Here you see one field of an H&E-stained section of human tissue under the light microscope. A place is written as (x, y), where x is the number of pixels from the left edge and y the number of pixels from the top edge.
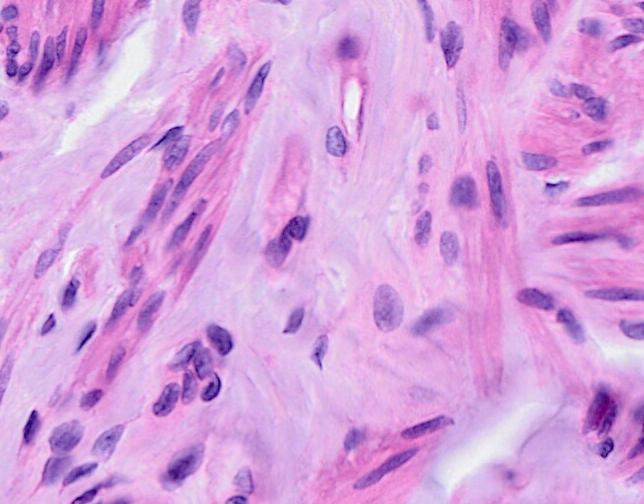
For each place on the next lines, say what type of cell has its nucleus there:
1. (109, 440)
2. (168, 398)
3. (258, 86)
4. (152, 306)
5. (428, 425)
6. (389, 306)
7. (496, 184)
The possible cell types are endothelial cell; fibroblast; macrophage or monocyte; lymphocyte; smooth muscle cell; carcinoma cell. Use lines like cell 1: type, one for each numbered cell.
cell 1: fibroblast
cell 2: endothelial cell
cell 3: smooth muscle cell
cell 4: smooth muscle cell
cell 5: smooth muscle cell
cell 6: fibroblast
cell 7: smooth muscle cell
